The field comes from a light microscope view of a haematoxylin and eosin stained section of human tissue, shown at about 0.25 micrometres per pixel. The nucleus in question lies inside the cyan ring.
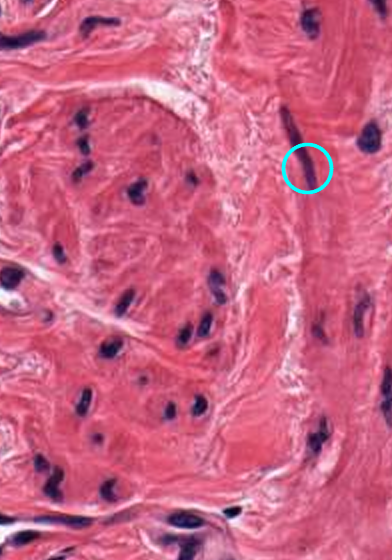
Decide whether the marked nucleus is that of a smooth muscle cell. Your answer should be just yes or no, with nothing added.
yes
